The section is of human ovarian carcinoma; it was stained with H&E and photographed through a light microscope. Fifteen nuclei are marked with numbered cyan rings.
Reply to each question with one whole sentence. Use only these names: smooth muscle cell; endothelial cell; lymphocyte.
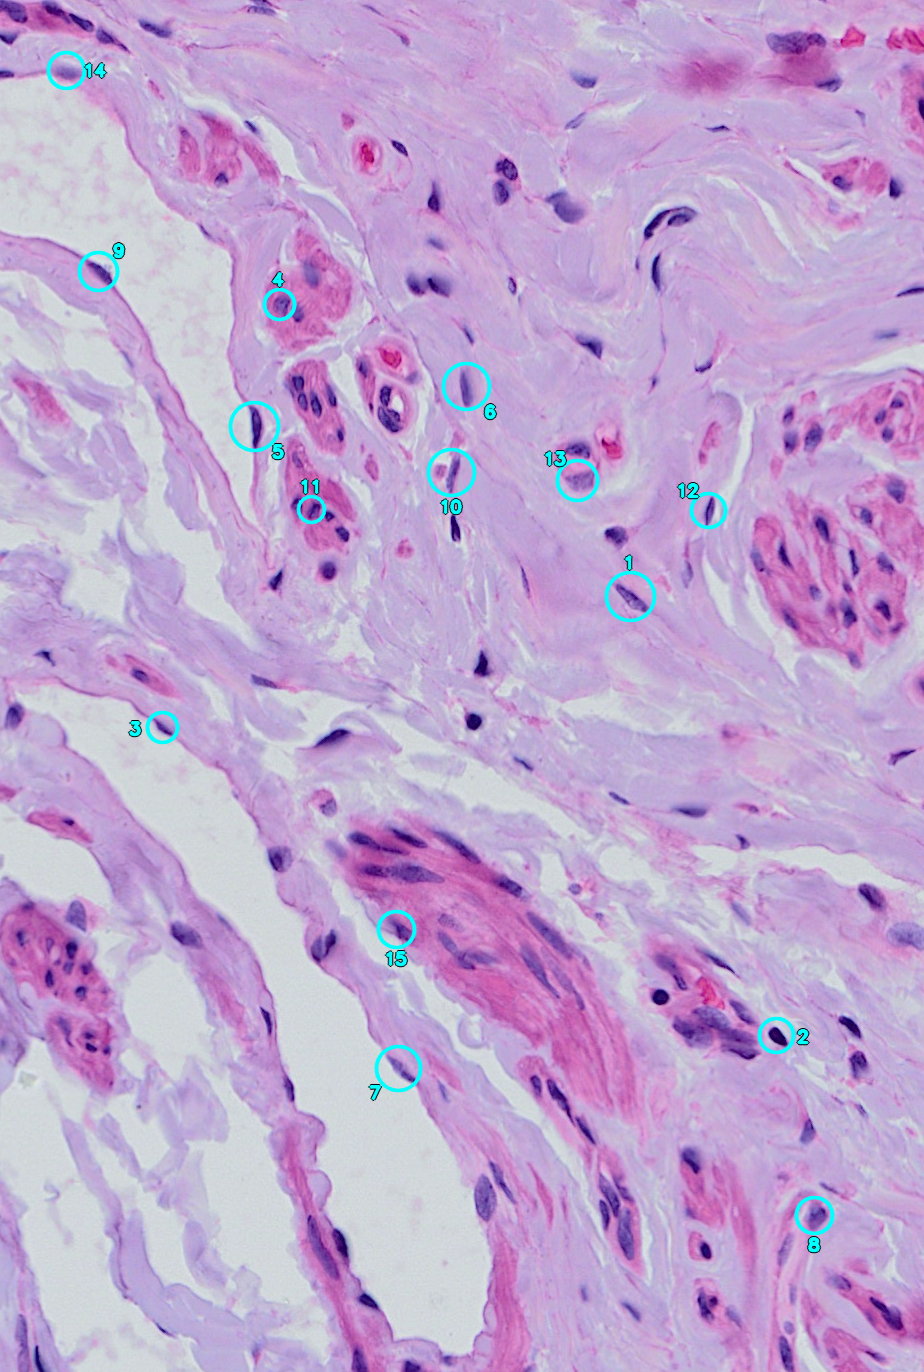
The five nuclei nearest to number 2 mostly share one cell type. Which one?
The majority of the five nuclei closest to number 2 belong to endothelial cells.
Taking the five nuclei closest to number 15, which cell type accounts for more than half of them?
Most of the five nuclei nearest to number 15 are those of smooth muscle cells.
